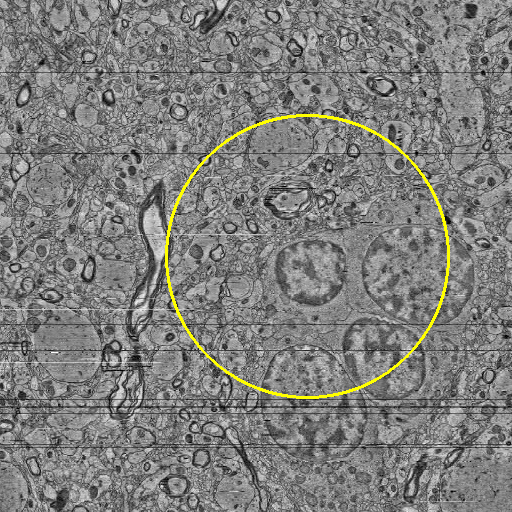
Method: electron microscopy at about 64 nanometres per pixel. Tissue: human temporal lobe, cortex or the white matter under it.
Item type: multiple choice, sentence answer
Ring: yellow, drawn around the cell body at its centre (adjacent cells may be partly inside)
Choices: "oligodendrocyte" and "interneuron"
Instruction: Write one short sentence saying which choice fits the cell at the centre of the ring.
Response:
This ring is drawn around an oligodendrocyte.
